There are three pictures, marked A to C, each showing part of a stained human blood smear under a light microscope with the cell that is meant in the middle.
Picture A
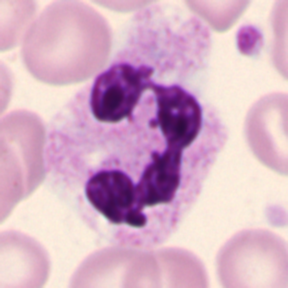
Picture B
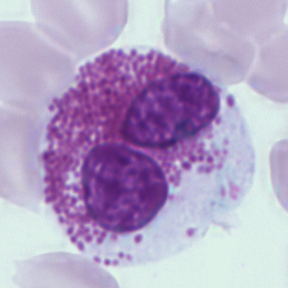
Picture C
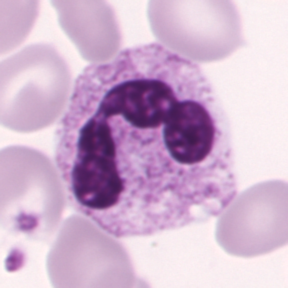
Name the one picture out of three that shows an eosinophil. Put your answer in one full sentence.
Picture B shows the eosinophil.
